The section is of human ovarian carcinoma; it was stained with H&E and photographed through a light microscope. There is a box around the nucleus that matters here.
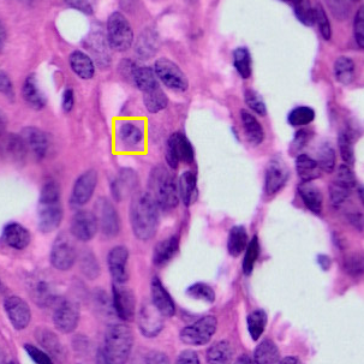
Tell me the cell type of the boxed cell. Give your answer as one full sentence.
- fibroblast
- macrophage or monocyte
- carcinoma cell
Right, so the boxed cell is a macrophage or monocyte, to answer that.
